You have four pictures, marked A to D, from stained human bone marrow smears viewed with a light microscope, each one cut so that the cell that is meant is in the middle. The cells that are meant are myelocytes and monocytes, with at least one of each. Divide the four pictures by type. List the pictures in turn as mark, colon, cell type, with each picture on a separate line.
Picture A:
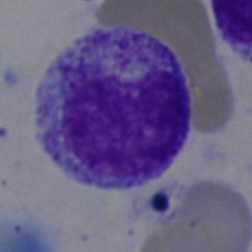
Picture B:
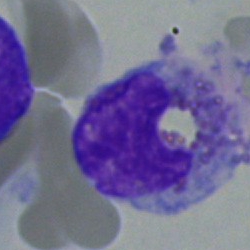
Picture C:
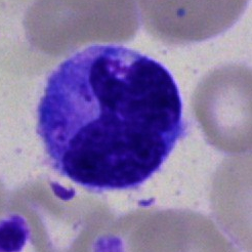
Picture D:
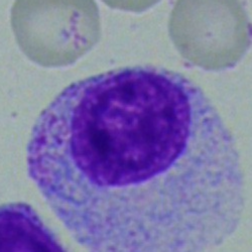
A: myelocyte
B: monocyte
C: monocyte
D: myelocyte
